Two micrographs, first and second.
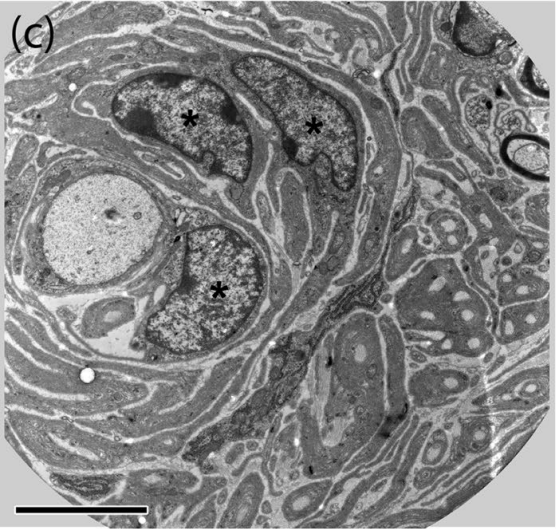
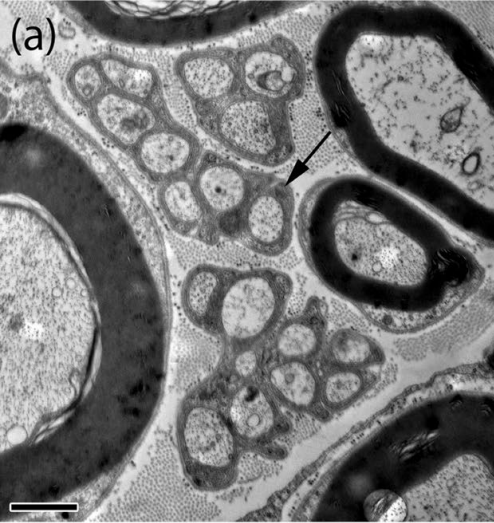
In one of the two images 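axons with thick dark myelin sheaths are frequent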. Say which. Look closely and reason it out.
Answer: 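Second image: several large axons with thick black myelin rings fill the field.
Hence: the second image.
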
